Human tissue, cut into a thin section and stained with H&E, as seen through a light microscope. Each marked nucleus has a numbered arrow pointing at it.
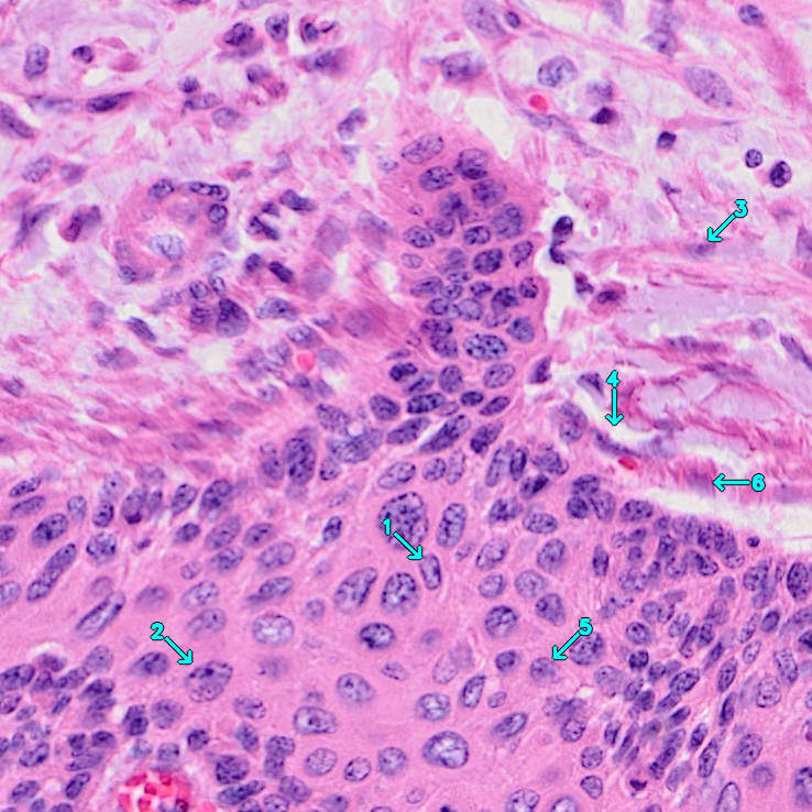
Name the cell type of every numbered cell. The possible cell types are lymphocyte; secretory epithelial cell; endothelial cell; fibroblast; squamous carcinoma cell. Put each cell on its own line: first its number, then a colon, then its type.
1: squamous carcinoma cell
2: squamous carcinoma cell
3: fibroblast
4: endothelial cell
5: squamous carcinoma cell
6: fibroblast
